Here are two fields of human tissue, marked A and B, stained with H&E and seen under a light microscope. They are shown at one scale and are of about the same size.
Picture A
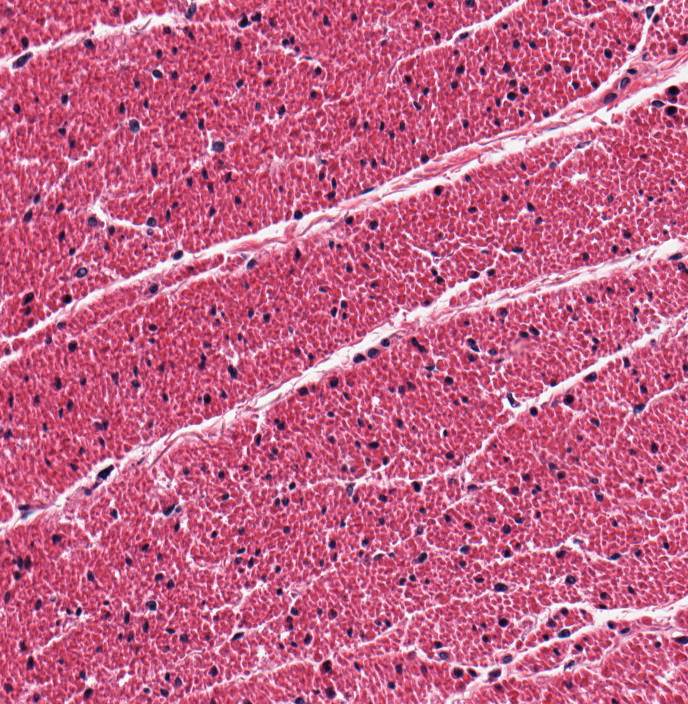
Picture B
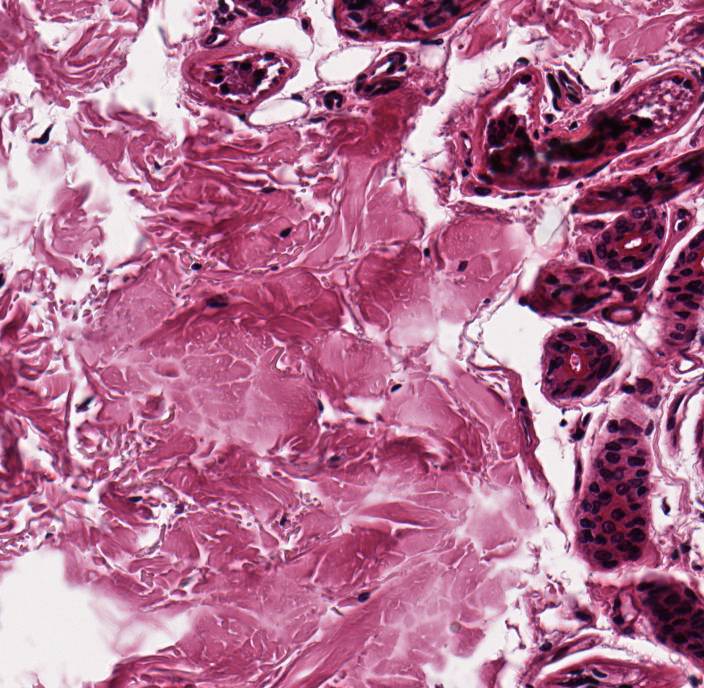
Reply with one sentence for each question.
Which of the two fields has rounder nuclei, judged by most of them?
Rounder nuclei lie in picture A.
